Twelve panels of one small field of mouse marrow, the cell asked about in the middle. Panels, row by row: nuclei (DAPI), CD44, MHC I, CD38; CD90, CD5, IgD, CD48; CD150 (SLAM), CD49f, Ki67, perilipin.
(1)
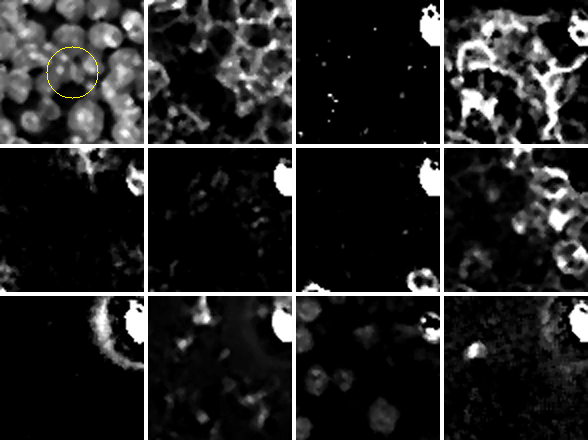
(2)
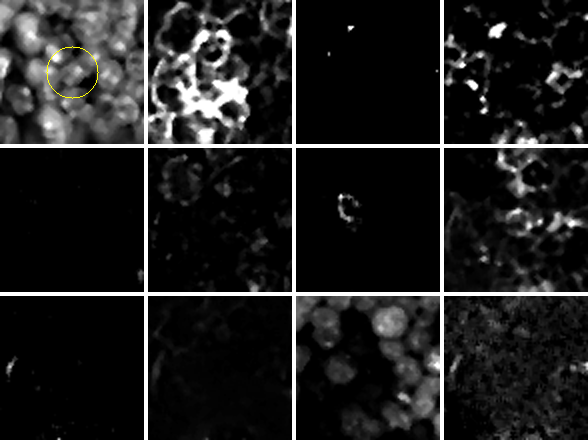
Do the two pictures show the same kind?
No: a capillary endothelial cell, then a monocyte.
